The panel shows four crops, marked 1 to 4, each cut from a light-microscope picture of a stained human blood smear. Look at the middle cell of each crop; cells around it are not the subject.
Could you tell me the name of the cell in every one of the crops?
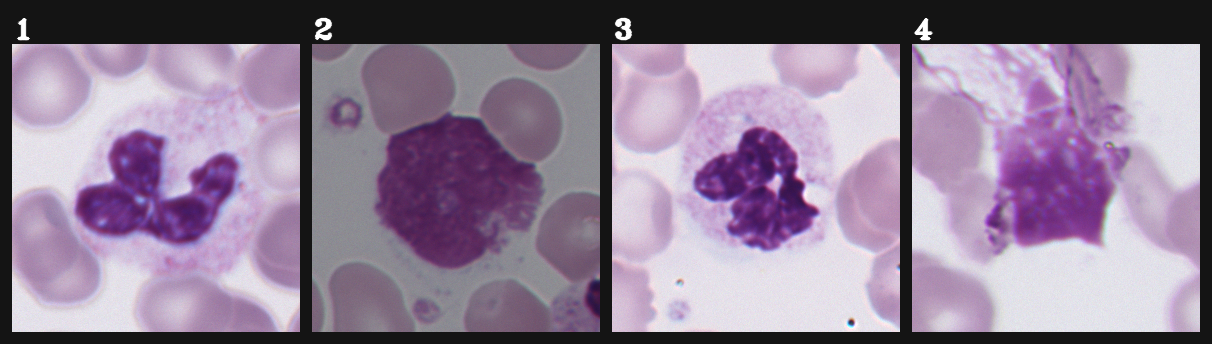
1: neutrophil
2: smudge cell
3: neutrophil
4: smudge cell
